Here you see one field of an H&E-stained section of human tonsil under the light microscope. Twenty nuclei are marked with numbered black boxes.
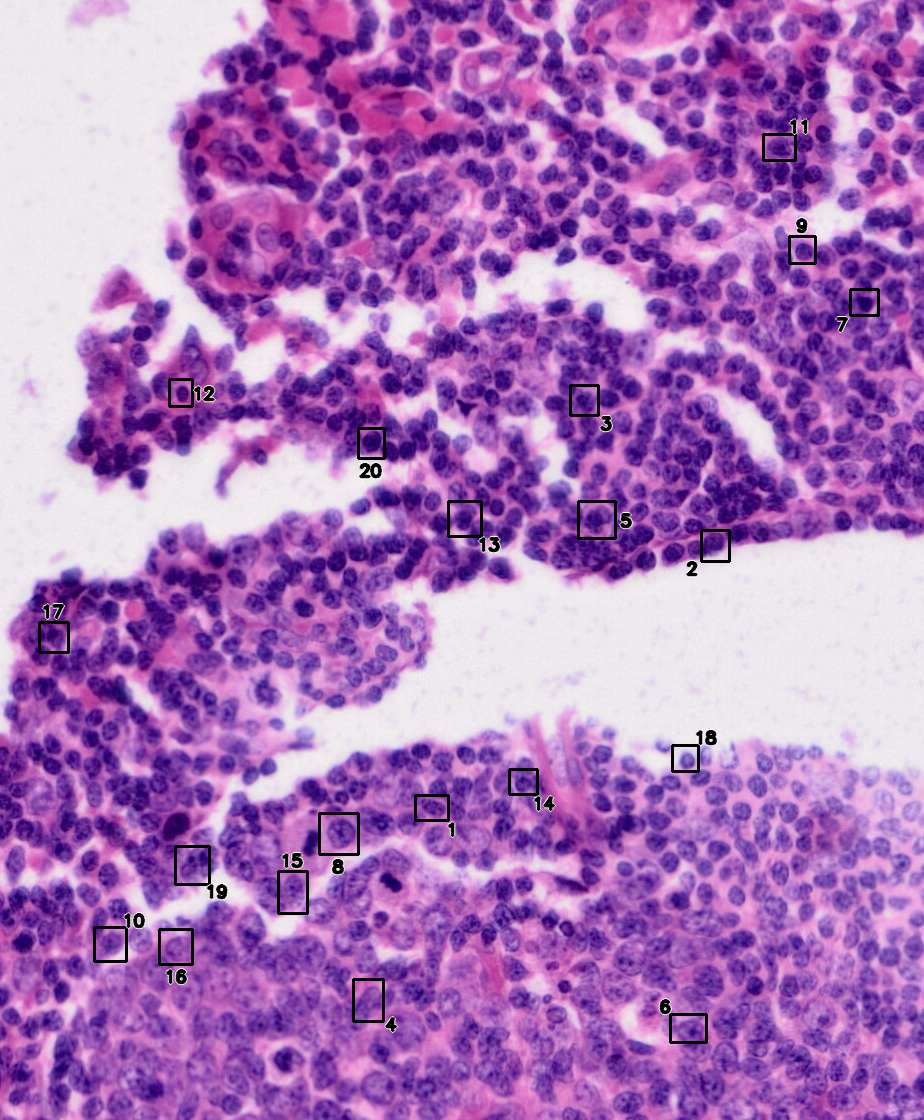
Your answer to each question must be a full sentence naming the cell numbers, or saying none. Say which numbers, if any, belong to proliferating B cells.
The cells picked out by numbers 1, 4, 6, 8, 10, 15, 16 and 19 are proliferating B cells.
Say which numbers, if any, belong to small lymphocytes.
The cells with the number labels 2, 3, 5, 7, 9, 11, 13, 14, 17, 18 and 20 are small lymphocytes.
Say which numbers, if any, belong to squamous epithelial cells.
Across all the numbered cells, squamous epithelial cells are absent.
